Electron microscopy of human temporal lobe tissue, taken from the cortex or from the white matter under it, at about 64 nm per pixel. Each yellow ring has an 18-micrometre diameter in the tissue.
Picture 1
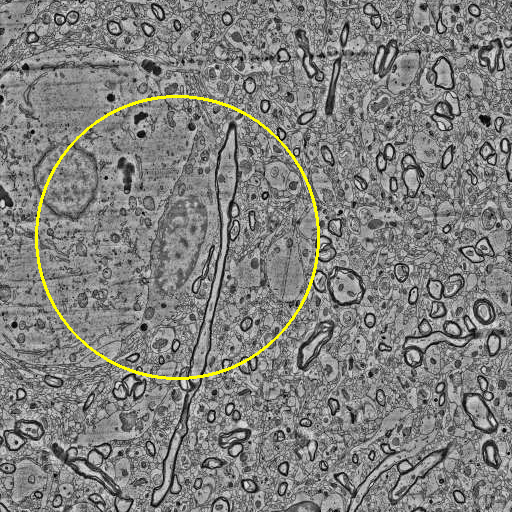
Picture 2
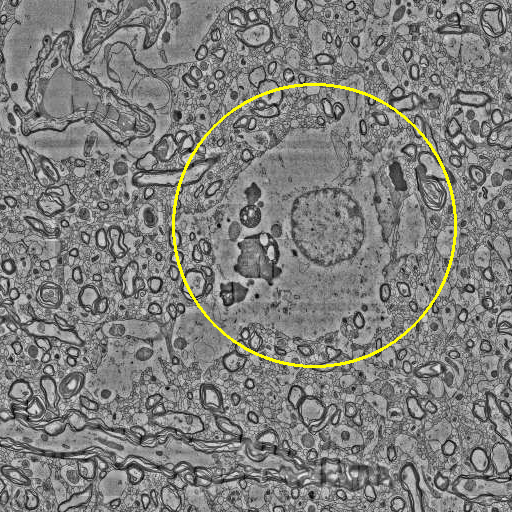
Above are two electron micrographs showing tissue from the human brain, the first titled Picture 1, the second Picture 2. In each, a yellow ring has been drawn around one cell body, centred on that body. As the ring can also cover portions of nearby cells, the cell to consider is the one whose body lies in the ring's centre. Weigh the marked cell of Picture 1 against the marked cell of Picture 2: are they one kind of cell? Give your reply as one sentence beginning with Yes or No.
No, the two cells sitting at the ring centres in the pictures are of two kinds.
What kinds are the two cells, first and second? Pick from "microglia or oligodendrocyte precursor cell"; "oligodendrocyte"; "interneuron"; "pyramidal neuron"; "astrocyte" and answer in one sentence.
The second picture holds an astrocyte in its ring, and the first holds an oligodendrocyte.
